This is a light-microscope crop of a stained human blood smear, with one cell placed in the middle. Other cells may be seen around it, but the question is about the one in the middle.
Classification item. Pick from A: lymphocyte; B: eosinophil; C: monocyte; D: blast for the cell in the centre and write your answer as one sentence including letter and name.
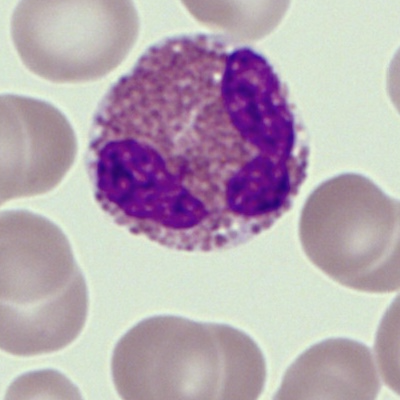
The middle of the crop holds an eosinophil, which points to option B.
